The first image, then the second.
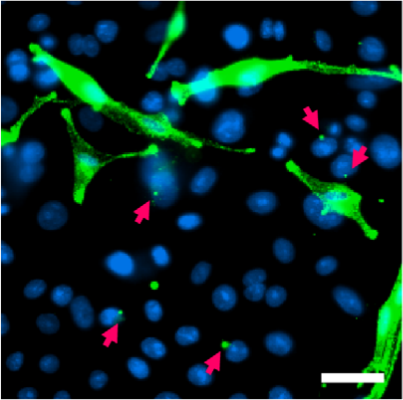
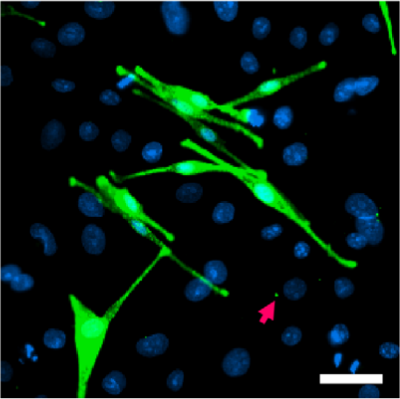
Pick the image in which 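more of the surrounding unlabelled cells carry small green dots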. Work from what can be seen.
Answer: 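Second image: only a single small green dot is marked near an unlabelled cell's nucleus. First image: several small green dots lie at the nuclei of unlabelled cells across the field.
Hence: the first image.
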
